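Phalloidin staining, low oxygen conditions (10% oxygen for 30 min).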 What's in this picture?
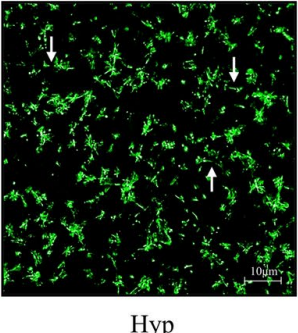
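Field of densely scattered platelets with green filamentous staining on a black background. Cells are small and irregular, many with spiky, star-like outlines from multiple radiating thin processes. Some cells are clustered into small groups; few appear as isolated compact round bodies.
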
